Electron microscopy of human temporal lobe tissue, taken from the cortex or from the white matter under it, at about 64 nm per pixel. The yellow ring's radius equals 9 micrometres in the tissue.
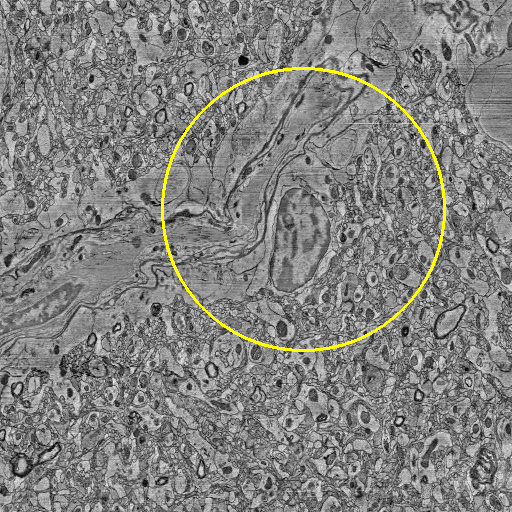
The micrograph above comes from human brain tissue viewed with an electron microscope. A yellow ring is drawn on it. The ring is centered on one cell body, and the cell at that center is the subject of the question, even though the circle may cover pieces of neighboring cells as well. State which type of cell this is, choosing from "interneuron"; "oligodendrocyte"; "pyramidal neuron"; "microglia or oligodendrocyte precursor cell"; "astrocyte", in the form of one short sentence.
The cell the ring is centered on is a microglial cell or oligodendrocyte precursor cell.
